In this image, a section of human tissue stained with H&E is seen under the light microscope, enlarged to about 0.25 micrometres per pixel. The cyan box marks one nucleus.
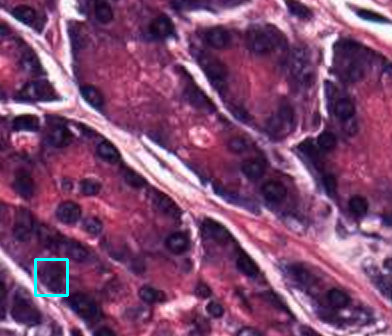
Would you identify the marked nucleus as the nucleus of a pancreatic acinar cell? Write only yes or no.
yes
